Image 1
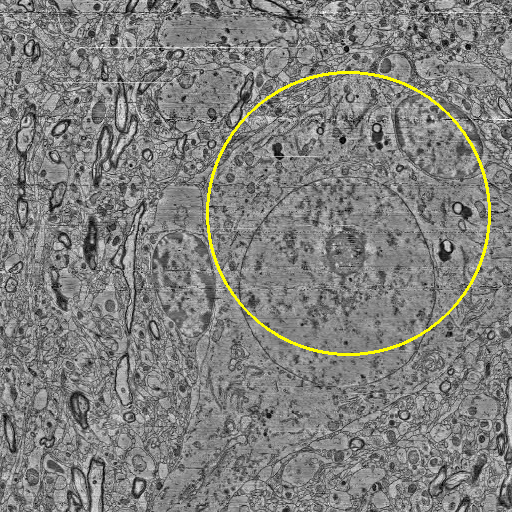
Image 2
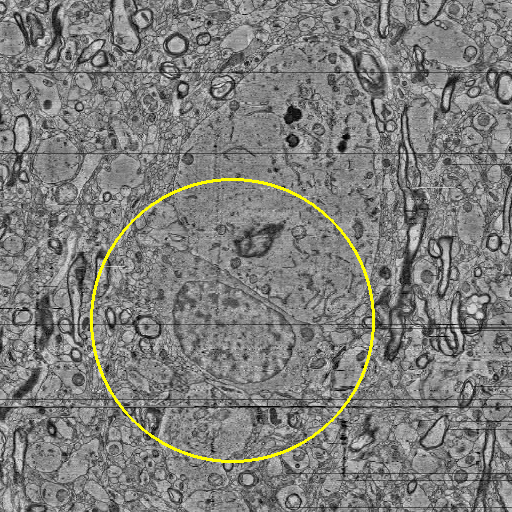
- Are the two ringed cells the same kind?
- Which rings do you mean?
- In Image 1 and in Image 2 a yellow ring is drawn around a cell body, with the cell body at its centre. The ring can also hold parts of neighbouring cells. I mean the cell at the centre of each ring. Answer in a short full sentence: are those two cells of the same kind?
No, the cells are of two kinds.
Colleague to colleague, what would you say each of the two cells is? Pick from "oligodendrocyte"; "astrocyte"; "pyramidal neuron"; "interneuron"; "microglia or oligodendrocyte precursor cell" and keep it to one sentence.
The cell in the first picture is a pyramidal neuron; the second picture's cell is an oligodendrocyte.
